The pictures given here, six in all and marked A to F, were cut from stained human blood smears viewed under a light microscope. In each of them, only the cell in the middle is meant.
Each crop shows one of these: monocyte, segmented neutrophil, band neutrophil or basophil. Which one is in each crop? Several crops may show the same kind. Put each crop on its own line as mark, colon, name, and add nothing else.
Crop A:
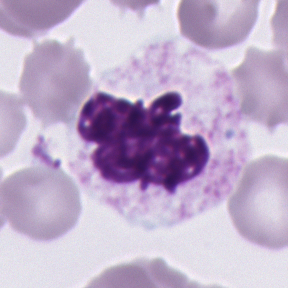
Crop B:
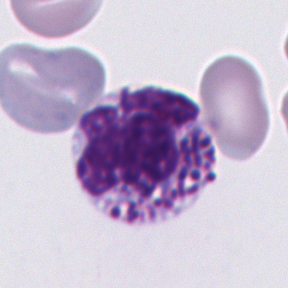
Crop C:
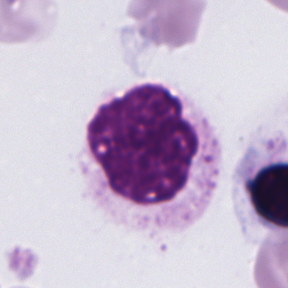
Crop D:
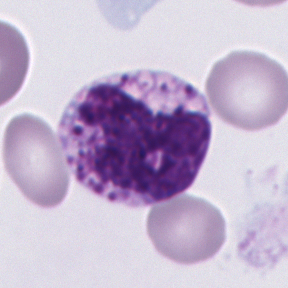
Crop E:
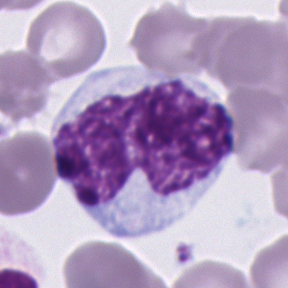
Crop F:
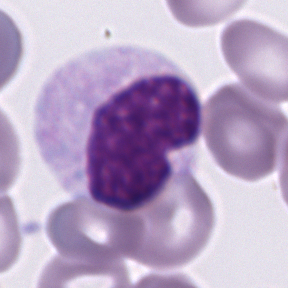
A: segmented neutrophil
B: basophil
C: segmented neutrophil
D: basophil
E: monocyte
F: band neutrophil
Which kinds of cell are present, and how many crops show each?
segmented neutrophil: 2
basophil: 2
monocyte: 1
band neutrophil: 1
